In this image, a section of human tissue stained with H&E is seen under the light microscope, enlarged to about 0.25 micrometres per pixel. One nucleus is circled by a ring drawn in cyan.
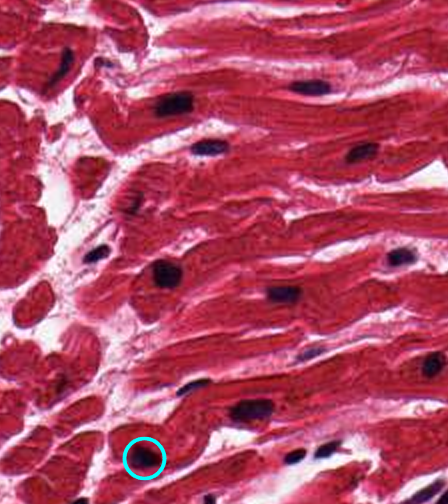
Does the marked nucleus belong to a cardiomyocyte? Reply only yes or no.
yes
